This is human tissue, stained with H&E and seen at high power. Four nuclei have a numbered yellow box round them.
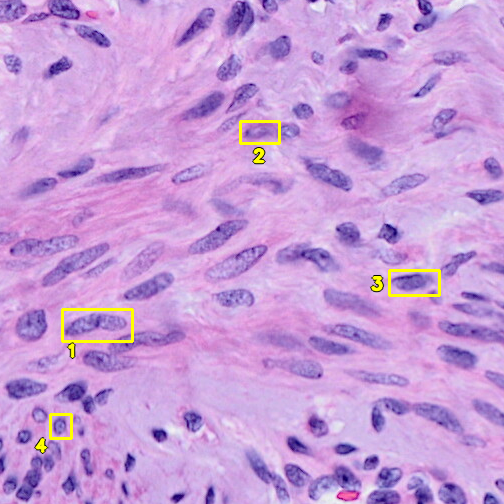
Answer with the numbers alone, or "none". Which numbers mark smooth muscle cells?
1, 2, 4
